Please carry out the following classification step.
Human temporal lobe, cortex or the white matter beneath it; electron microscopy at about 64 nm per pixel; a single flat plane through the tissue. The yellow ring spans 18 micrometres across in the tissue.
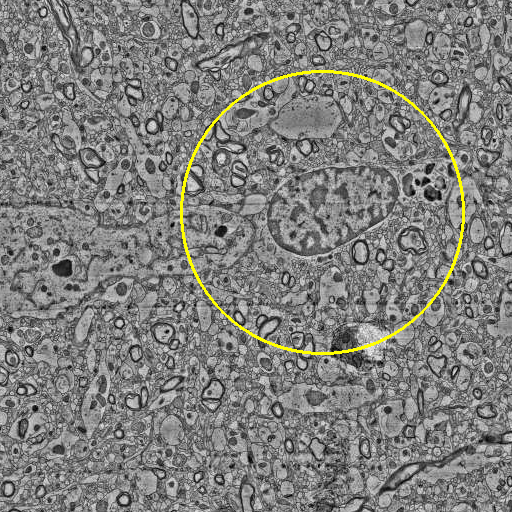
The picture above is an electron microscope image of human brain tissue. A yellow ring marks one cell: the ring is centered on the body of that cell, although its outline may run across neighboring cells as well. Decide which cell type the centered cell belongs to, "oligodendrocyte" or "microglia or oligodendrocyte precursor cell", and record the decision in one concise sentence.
The cell centered in the yellow ring is a microglial cell or oligodendrocyte precursor cell.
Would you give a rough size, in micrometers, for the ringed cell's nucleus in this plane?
Roughly 7 micrometres by 5 micrometres, in this plane.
